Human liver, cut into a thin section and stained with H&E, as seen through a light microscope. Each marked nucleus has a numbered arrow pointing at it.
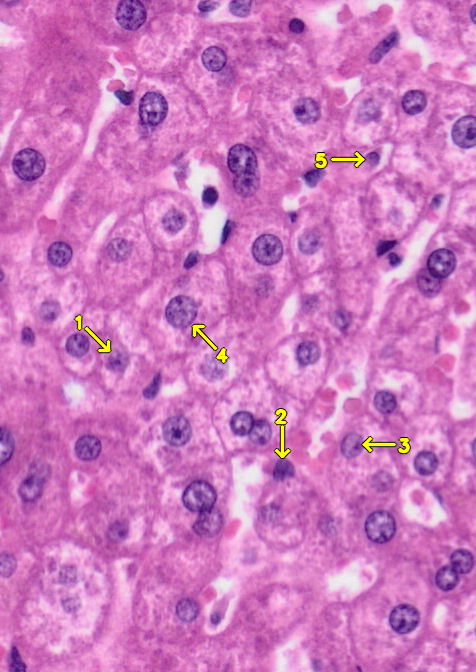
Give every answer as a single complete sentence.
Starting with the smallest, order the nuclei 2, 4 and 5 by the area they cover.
Smallest first, the nuclei run 5, 2, 4.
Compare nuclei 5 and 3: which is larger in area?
Nucleus 3 covers more area, about 2.5 times as much as nucleus 5.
